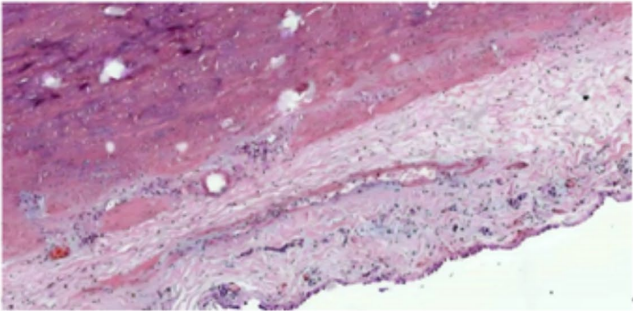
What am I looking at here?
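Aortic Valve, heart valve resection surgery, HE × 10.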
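The upper part is a homogeneous pink to purple mass with dark purple granular areas and small empty holes. Below it lies a paler, loosely fibrous layer with wavy strands. Small dark nuclei, some of them clustered, are scattered within the fibrous layer and along the boundary between the two zones.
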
